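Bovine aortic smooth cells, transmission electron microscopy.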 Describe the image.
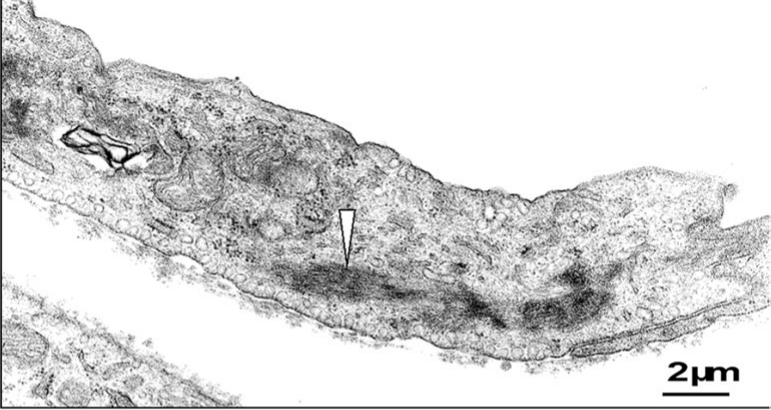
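The cytoplasm contains mitochondria with visible cristae, membrane profiles and scattered dark granules. Near the lower cell surface a long, electron-dense band of fine filaments runs parallel to the axis of the cell, away from any nucleus. The cell surface is lined with many small round vesicles just beneath the plasma membrane.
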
